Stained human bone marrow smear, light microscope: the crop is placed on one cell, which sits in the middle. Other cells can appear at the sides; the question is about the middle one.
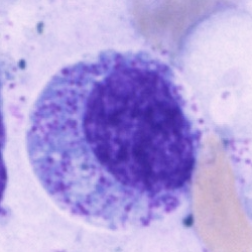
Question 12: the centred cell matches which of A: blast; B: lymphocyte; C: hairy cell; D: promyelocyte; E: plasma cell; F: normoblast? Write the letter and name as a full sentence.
The cell in the middle is a promyelocyte, and so option D is correct.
